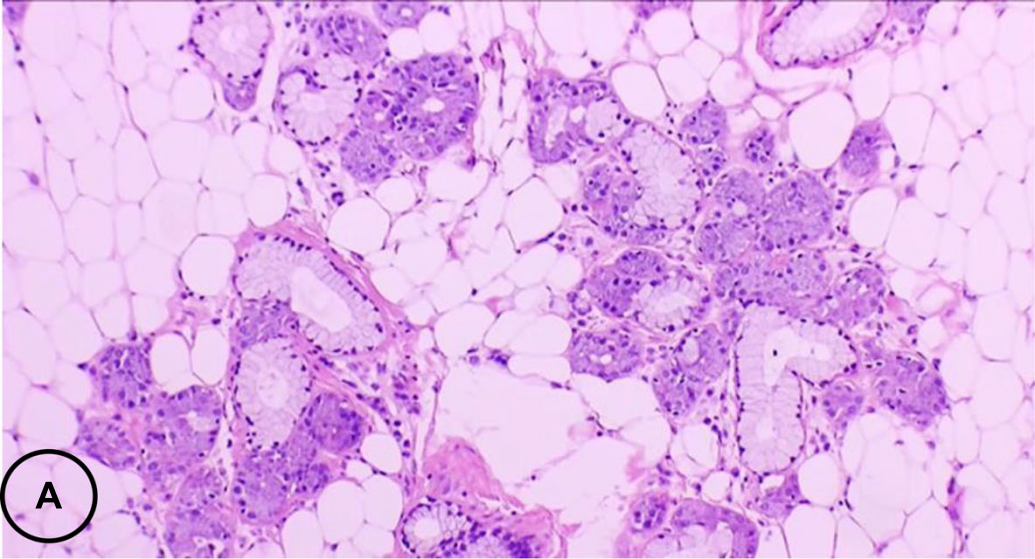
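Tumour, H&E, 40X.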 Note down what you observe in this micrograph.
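Mature adipose tissue of large, empty, polygonal fat cells with thin pink borders surrounds scattered small islets of salivary gland-type duct-acinar units. Some islets consist of pale, foamy columnar cells arranged around a lumen, others of cells with granular purple cytoplasm and round nuclei, with thin strands of pink stroma between them.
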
